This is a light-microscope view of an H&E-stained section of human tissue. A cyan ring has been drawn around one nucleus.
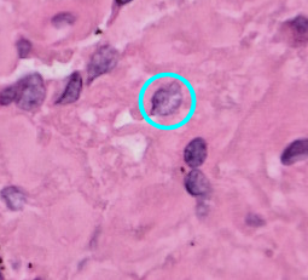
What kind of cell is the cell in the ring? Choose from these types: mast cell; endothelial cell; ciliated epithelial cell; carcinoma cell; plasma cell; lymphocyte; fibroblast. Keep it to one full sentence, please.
Within the stained tissue, the cell in the ring is a fibroblast.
